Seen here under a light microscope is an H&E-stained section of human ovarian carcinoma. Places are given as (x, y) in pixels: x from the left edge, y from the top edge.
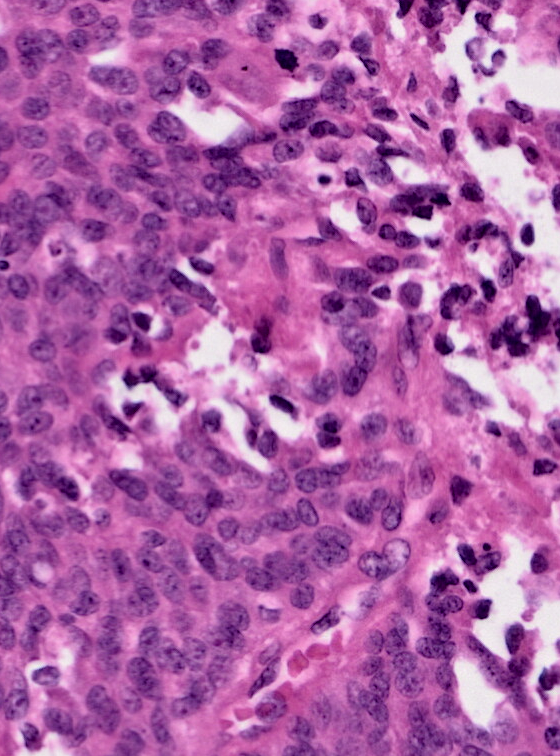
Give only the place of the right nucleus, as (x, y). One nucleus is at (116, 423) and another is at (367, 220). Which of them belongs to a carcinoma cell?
(116, 423)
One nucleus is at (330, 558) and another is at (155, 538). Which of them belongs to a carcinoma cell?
(330, 558)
